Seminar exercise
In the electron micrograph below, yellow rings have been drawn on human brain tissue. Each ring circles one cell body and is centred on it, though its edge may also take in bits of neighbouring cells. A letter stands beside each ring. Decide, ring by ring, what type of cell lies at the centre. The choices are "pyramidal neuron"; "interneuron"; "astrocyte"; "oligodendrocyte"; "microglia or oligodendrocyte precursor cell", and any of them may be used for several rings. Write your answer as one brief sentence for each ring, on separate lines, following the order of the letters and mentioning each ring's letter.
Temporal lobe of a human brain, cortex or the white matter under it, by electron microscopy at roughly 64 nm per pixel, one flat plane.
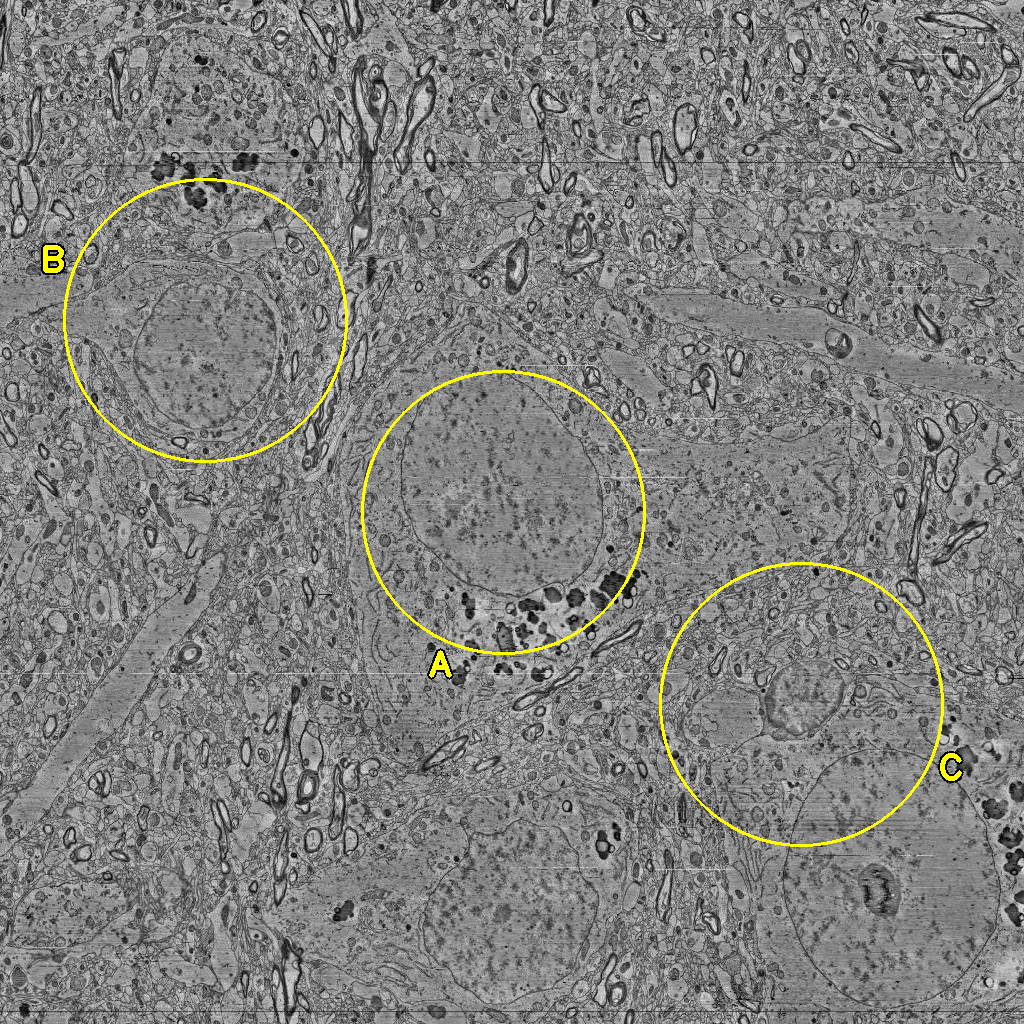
The cell in the middle of ring A is a pyramidal neuron.
The cell in the middle of ring B is an interneuron.
The cell in the middle of ring C is an oligodendrocyte.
